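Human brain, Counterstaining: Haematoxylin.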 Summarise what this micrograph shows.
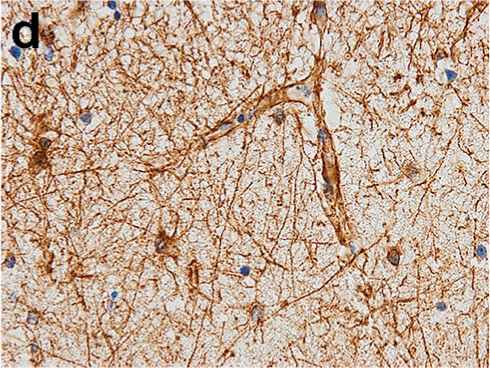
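A dense meshwork of brown, branching processes fills the field, arising from scattered star-shaped cell bodies. Many processes run toward and line a long branching vessel-like tube that crosses the field. These are astrocytes whose process endfeet contact the vessel wall.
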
